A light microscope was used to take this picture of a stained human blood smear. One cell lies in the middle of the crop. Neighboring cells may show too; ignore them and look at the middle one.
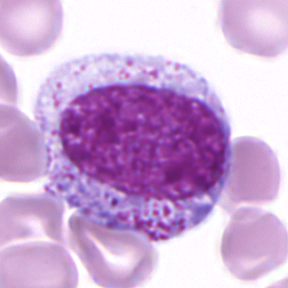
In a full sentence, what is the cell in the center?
On this slide crop, the central cell is a promyelocyte.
